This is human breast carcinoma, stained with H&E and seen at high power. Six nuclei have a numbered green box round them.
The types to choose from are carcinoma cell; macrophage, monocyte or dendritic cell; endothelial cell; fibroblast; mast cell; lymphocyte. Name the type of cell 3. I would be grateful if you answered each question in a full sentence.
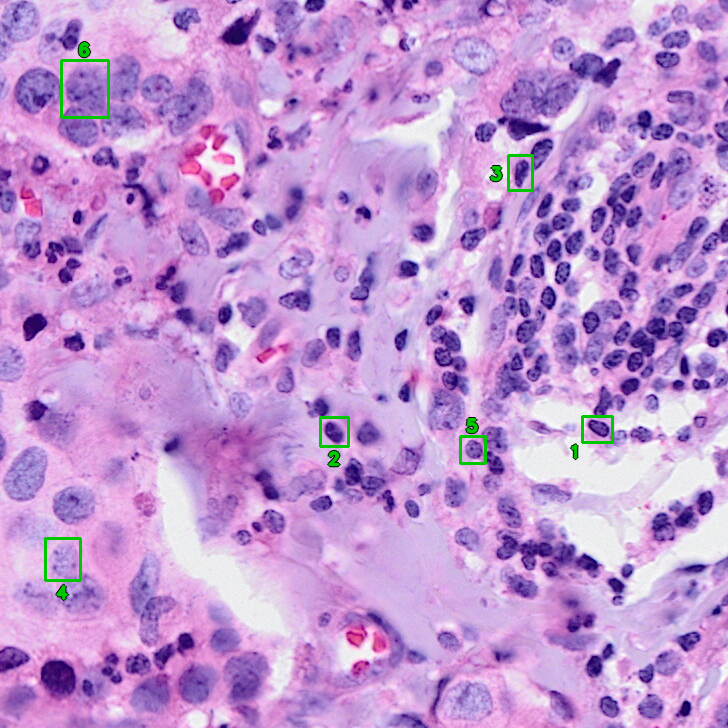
Marked with the number 3, this cell is a lymphocyte.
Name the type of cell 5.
Cell 5, as marked in the section, is a lymphocyte.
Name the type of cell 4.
The marked cell with the number 4 is recognised as a carcinoma cell.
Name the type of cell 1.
Marked with the number 1, this cell is a lymphocyte.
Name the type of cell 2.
Numbered cell 2 is a lymphocyte in this tissue section.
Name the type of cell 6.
The cell marked with number 6 is a carcinoma cell.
